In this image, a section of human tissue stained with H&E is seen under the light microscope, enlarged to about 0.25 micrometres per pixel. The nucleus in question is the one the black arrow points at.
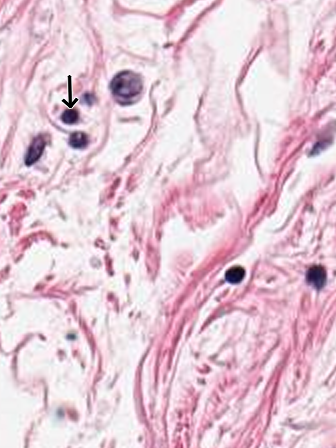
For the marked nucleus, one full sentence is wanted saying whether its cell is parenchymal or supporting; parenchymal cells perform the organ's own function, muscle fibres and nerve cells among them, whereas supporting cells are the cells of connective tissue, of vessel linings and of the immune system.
The marked nucleus is recognized as that of a supporting cell.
